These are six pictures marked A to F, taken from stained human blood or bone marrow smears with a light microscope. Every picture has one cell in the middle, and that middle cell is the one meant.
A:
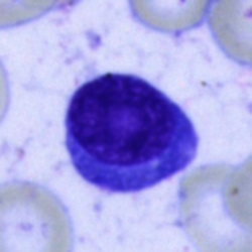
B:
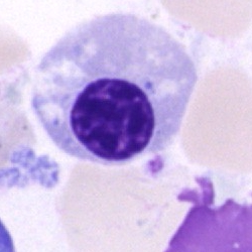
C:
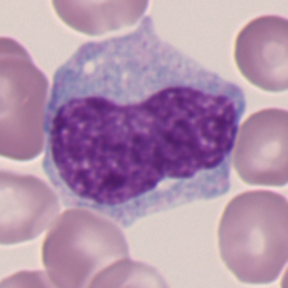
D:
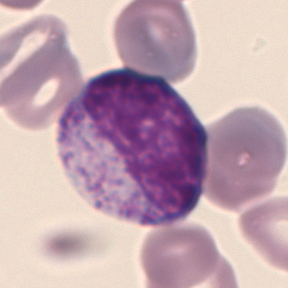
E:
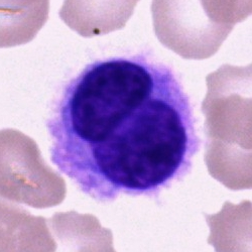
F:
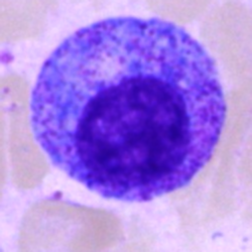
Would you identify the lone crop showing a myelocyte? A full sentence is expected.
The correct choice is crop D, the one showing a myelocyte.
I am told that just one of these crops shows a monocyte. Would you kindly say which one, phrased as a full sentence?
Of the labelled crops, the one that shows a monocyte is crop C.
